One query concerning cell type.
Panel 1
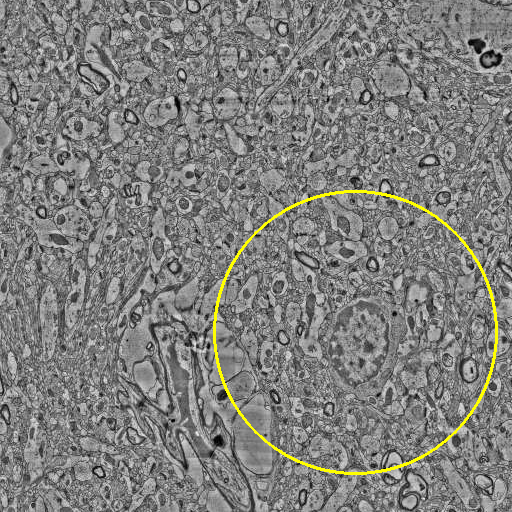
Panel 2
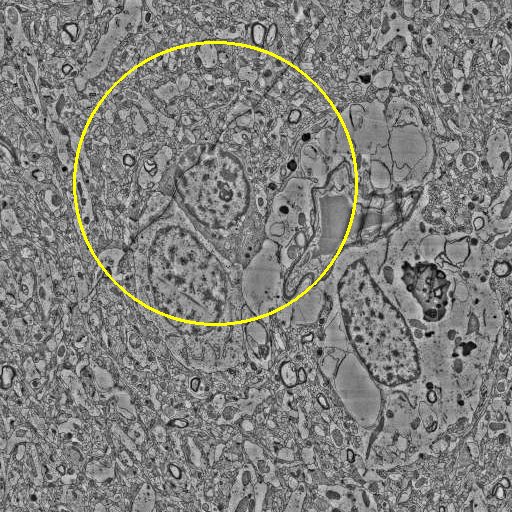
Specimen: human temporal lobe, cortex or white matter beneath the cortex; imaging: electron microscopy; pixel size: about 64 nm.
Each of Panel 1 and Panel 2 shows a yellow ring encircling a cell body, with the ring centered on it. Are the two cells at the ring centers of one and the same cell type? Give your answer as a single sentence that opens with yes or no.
Yes, the cell centered in Panel 1 and the one in Panel 2 share a type.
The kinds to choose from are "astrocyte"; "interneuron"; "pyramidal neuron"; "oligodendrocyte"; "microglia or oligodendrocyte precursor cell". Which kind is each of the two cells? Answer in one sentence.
Both cells are the same kind, each one being an oligodendrocyte.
